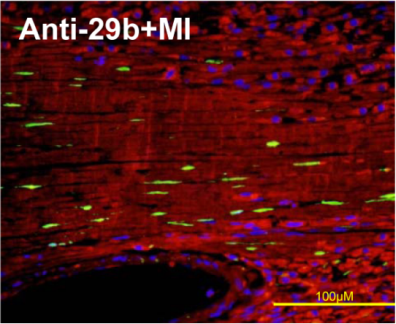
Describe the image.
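Red-stained heart muscle fibres run roughly horizontally, with blue nuclei between them and a large dark vessel lumen at the lower edge, ringed by densely packed nuclei. Bright green, elongated nuclei are scattered through the muscle.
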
